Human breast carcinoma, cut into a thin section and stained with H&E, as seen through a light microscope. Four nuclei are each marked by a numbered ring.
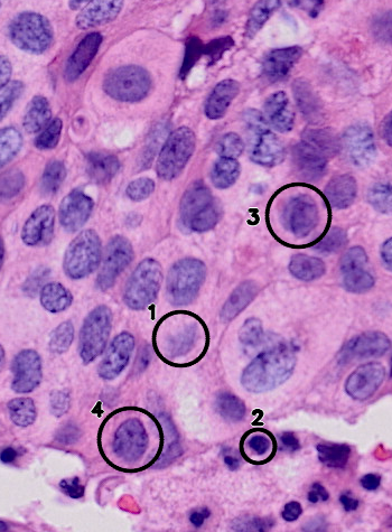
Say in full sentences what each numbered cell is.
Cell 1 is a carcinoma cell, cell 2 is a lymphocyte, cell 3 is a carcinoma cell and cell 4 is a carcinoma cell.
